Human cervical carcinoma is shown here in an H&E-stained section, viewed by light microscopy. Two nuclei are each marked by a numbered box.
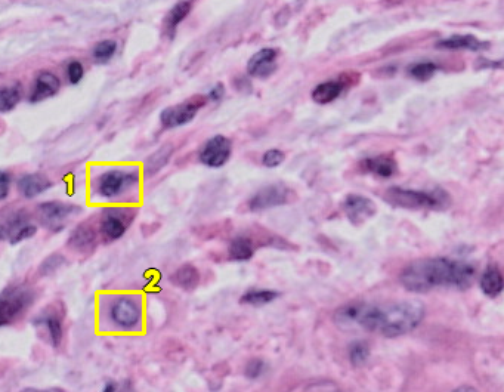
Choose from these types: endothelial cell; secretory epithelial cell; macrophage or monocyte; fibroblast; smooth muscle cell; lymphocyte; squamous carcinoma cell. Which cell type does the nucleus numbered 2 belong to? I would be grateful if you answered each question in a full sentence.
Belonging to an endothelial cell is the nucleus that carries the number 2.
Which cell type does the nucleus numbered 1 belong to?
As for number 1, that cell is a lymphocyte.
